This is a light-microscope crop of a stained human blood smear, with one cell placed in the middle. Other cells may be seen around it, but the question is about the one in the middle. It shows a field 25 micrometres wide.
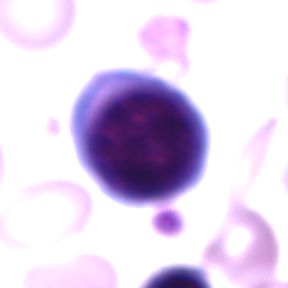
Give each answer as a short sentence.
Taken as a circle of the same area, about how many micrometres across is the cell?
Taken as a circle, the cell has a diameter of about 12 micrometres.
